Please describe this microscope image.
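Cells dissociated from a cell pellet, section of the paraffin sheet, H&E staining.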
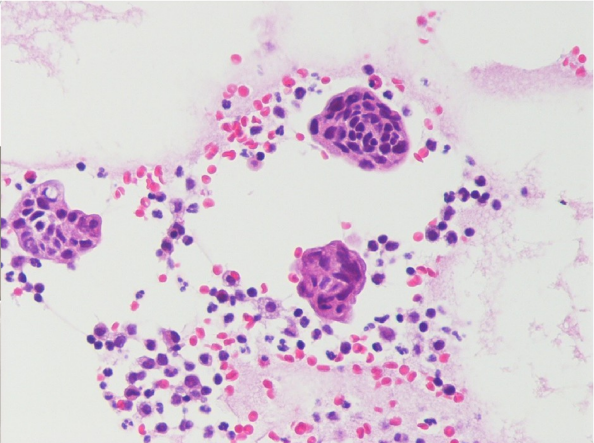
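Cancer and inflammatory cells are seen lying loosely on a pale, faintly pink background. Three tight, rounded to irregular clusters stand out, each made of large cells with crowded, overlapping, darkly purple nuclei and pink cytoplasm, the cells pressed together in cohesive balls. Around them lie many scattered single small cells with dark, round or lobed nuclei and little cytoplasm, together with numerous bright pink red blood cells without nuclei. The small cells and red cells are strewn in strands and loose groups between the clusters, and wisps of pale pink amorphous material run across the field.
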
